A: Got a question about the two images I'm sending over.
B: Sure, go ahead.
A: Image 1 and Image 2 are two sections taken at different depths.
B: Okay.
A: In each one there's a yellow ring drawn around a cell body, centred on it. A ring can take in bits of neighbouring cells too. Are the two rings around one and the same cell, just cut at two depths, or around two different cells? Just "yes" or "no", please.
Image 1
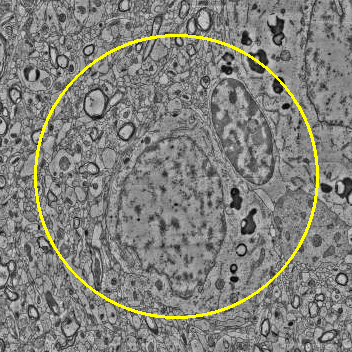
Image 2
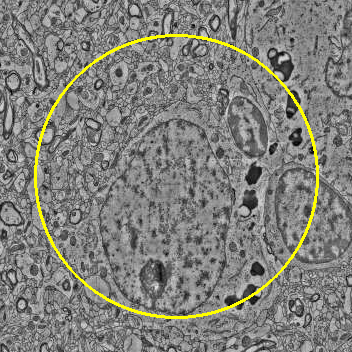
yes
